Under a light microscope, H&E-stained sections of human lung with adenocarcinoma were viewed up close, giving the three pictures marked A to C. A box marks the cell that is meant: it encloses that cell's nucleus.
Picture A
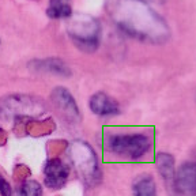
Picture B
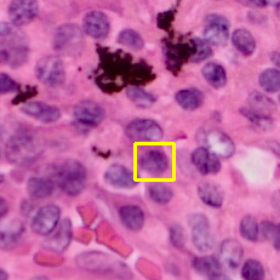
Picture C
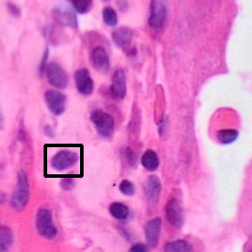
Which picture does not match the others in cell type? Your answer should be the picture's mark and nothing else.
C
